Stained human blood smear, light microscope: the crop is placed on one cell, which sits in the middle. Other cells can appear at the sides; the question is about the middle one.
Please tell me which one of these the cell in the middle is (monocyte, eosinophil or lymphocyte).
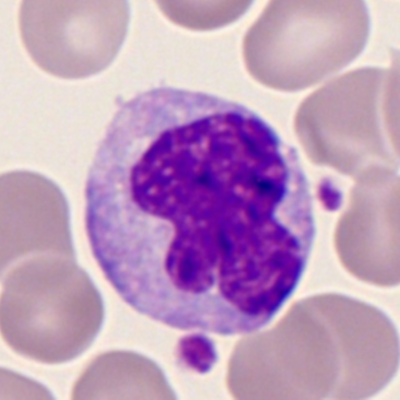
monocyte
